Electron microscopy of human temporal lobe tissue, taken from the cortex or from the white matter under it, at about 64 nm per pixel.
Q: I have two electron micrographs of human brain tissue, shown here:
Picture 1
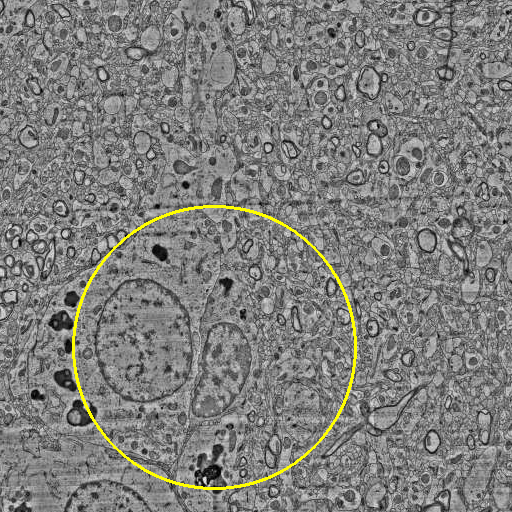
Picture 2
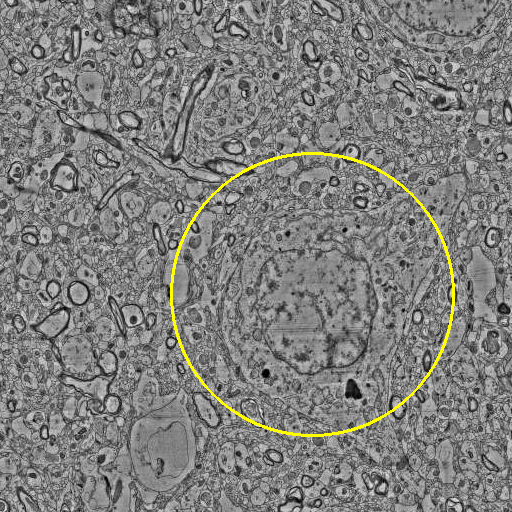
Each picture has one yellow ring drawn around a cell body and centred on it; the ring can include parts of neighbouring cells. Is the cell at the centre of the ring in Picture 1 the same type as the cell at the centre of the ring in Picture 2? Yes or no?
no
